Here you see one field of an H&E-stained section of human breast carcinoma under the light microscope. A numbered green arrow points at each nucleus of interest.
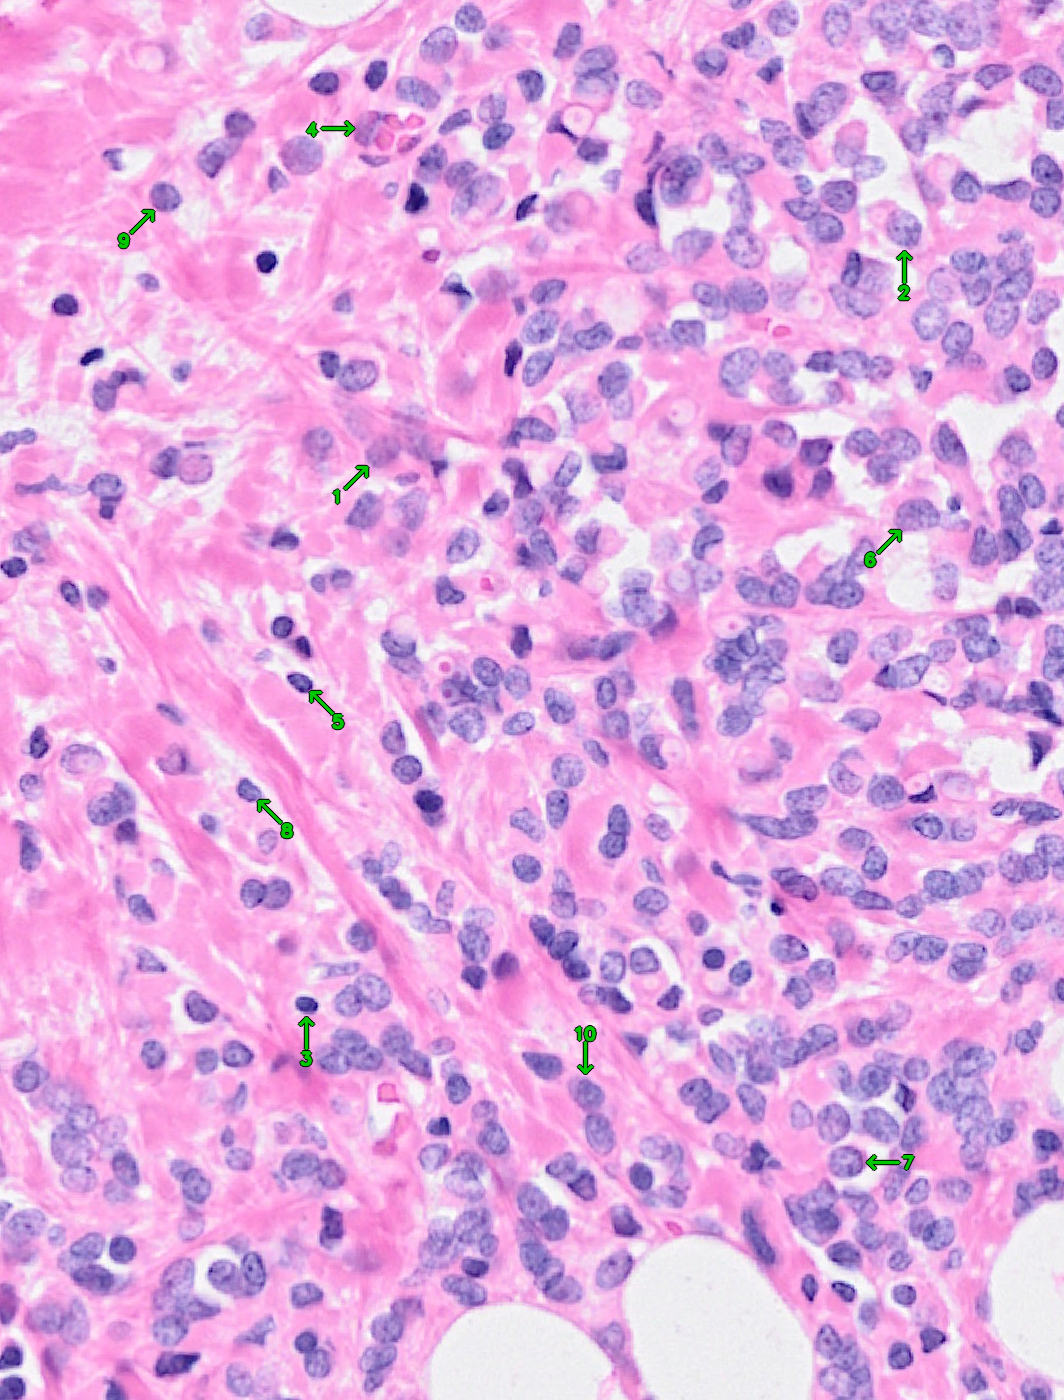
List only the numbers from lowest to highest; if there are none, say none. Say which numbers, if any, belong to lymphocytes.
3, 5, 8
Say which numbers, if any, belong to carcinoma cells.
1, 2, 6, 7, 9, 10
